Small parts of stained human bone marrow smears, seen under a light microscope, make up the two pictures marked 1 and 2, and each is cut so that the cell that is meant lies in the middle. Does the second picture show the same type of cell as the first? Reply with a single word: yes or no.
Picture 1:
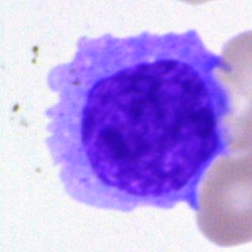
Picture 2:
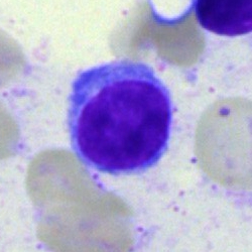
no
